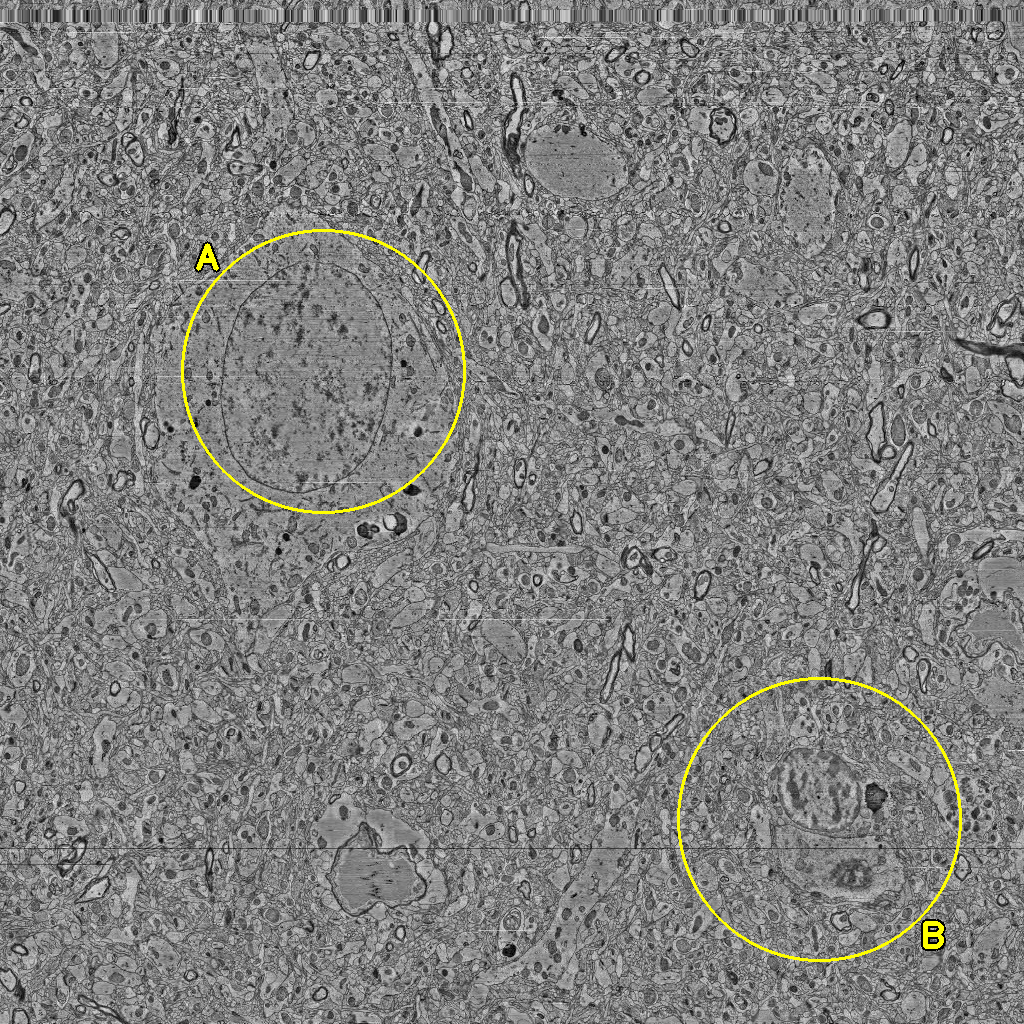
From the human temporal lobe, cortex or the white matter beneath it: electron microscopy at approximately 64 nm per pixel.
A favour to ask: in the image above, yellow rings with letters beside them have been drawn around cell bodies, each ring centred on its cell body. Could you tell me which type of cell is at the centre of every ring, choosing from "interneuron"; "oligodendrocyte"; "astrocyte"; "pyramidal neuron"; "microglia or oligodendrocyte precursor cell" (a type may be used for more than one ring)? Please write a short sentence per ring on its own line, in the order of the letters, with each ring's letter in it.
Ring A holds a pyramidal neuron at its centre.
Ring B holds an oligodendrocyte at its centre.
